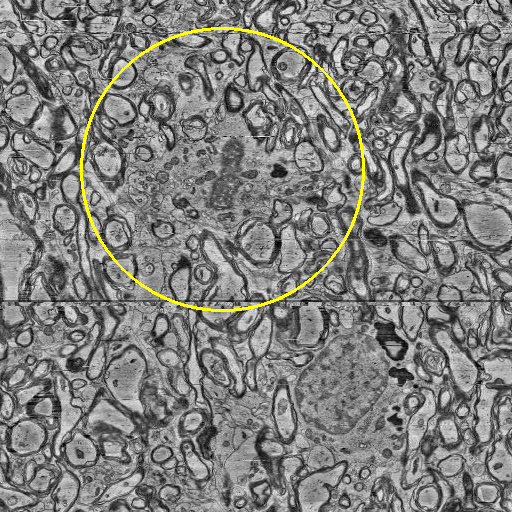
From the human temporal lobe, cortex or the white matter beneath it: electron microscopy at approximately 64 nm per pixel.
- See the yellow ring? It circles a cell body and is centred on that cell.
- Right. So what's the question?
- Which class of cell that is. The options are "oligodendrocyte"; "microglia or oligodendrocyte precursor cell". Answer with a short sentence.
The centre of the ring holds an oligodendrocyte.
